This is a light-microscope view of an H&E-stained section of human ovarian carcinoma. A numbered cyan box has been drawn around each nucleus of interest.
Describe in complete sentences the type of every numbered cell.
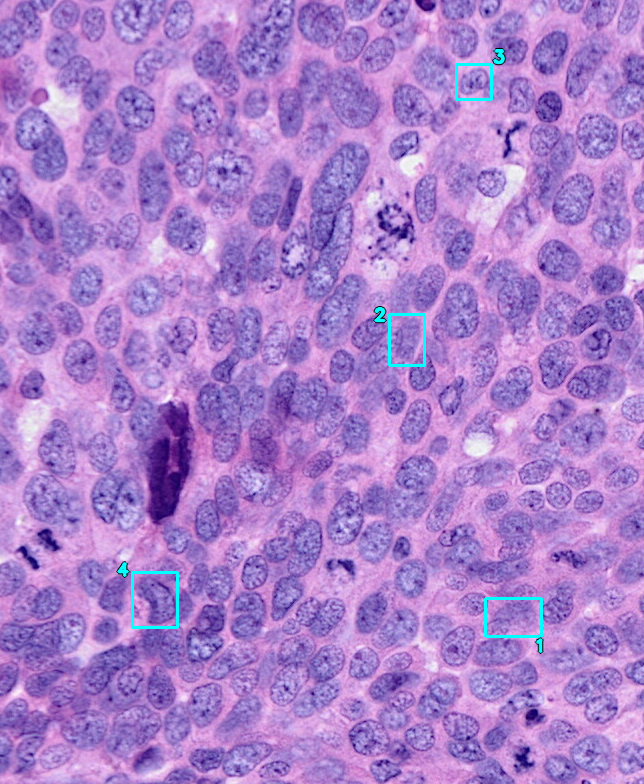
Cells 1, 2 and 4 are carcinoma cells. Cell 3 is a macrophage or monocyte.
